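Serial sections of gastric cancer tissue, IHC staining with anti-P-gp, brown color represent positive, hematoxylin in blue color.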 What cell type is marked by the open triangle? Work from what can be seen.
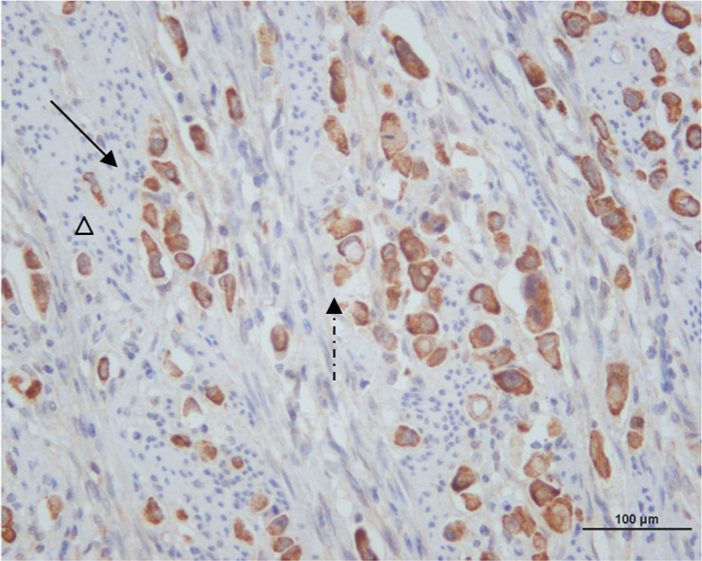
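The triangle sits in an area of small, evenly spaced blue nuclei.
Hence: non-cancerous cells.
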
